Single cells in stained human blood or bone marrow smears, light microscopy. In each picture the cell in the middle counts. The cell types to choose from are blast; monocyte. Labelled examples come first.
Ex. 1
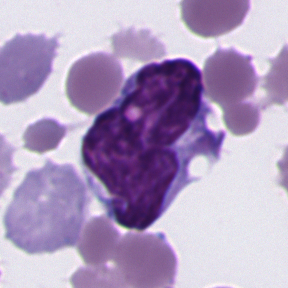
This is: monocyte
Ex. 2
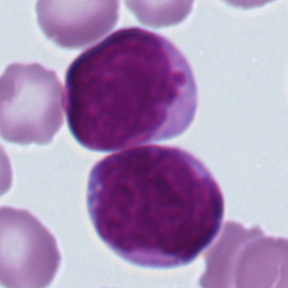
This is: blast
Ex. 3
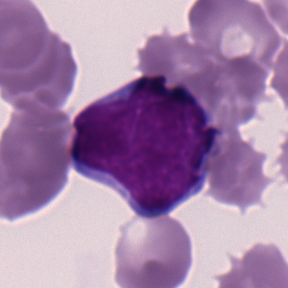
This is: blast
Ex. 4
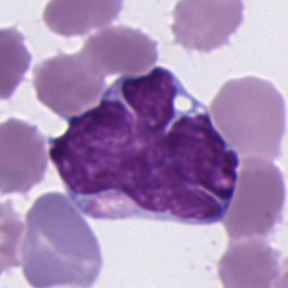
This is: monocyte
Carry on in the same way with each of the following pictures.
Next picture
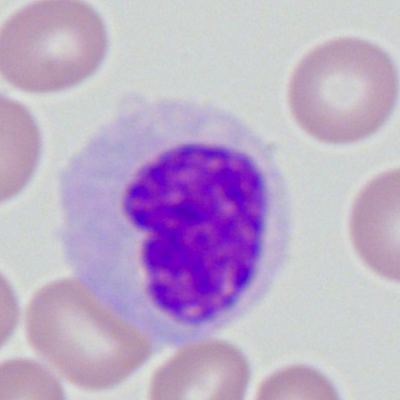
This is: monocyte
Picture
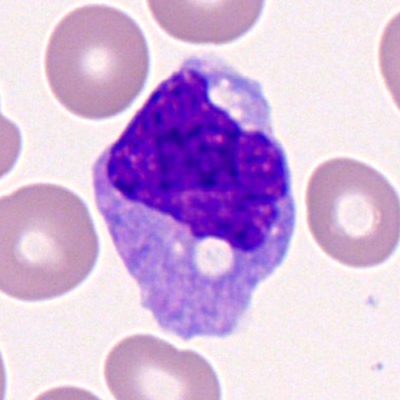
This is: monocyte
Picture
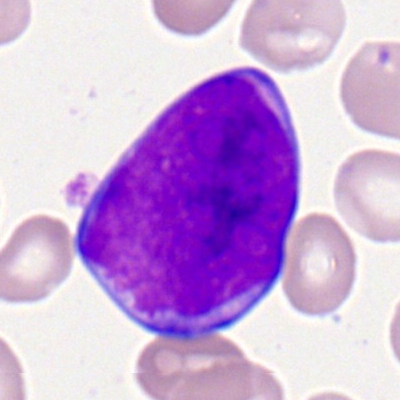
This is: blast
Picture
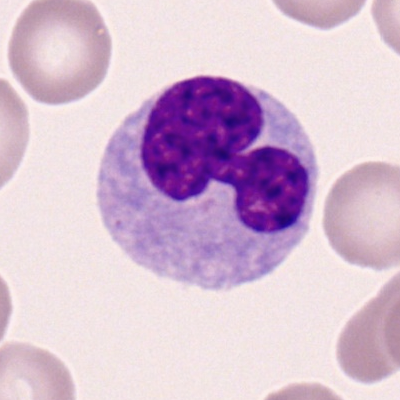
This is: monocyte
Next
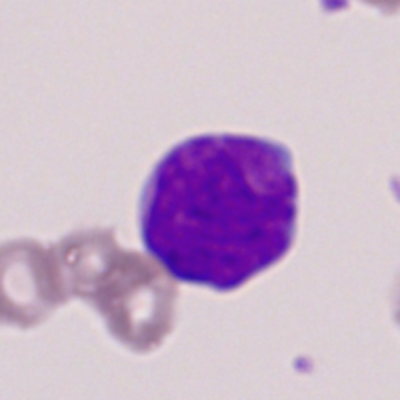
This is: blast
